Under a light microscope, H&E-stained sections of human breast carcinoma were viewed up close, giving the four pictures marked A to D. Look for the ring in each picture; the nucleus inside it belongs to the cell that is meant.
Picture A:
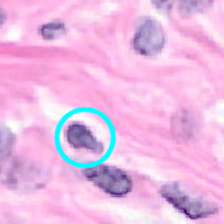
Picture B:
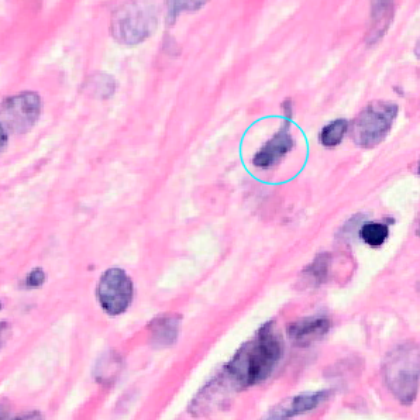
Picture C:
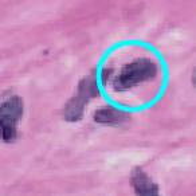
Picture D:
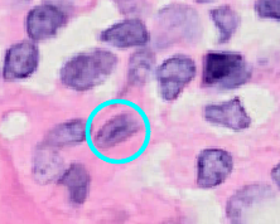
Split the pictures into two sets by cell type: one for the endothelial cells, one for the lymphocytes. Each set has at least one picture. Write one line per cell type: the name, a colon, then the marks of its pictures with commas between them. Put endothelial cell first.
endothelial cell: D
lymphocyte: A, B, C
